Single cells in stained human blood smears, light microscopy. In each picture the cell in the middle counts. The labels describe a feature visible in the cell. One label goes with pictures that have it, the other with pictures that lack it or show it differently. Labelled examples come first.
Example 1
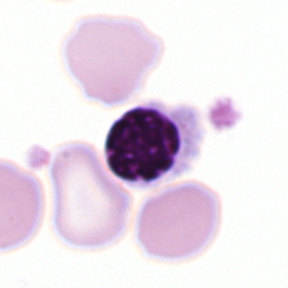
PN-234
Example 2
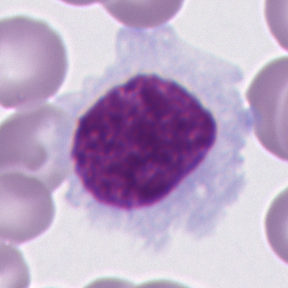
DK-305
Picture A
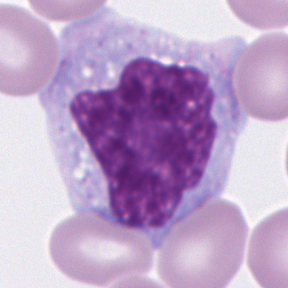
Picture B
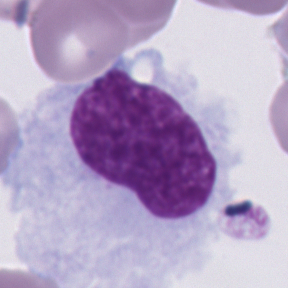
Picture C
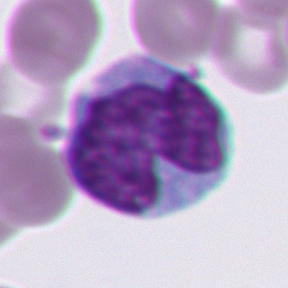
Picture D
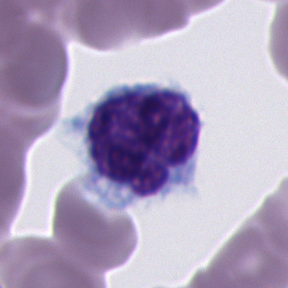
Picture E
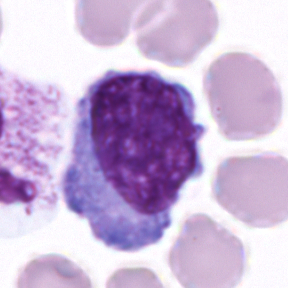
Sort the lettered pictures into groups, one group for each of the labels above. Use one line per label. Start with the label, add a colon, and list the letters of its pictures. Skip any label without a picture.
PN-234: C, D
DK-305: A, B, E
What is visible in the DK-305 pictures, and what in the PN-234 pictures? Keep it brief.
DK-305, abundant cytoplasm; PN-234, scant cytoplasm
